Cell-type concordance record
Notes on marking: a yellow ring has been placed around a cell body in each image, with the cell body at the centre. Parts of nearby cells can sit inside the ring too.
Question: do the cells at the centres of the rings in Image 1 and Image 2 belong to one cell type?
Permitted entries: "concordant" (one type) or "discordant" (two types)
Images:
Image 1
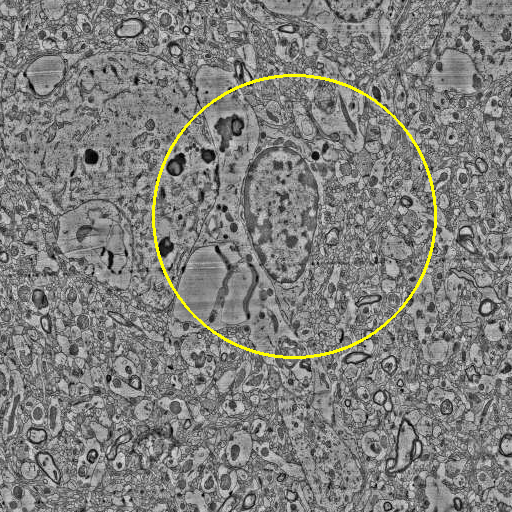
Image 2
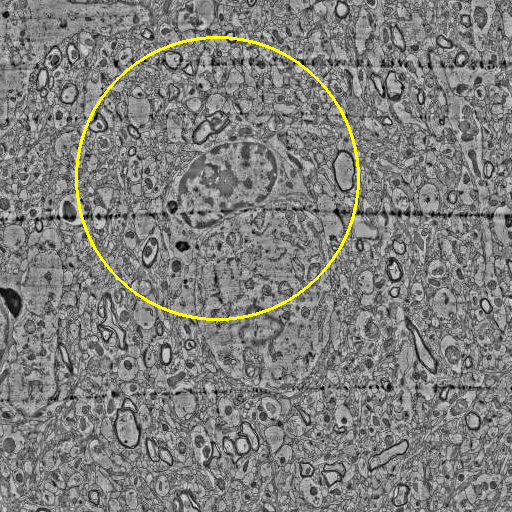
concordant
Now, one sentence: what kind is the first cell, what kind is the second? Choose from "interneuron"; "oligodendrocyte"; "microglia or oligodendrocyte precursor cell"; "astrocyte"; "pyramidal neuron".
In each of the two pictures, the ringed cell is a microglial cell or oligodendrocyte precursor cell.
